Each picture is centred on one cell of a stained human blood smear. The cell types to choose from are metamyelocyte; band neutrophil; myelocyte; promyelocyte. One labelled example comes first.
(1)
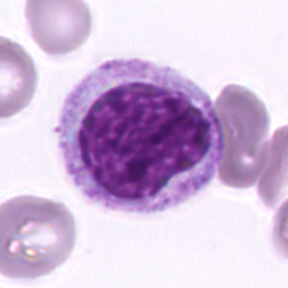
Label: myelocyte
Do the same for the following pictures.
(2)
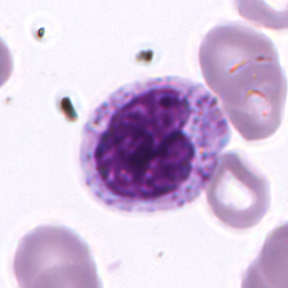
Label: band neutrophil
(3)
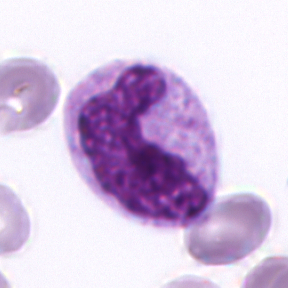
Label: band neutrophil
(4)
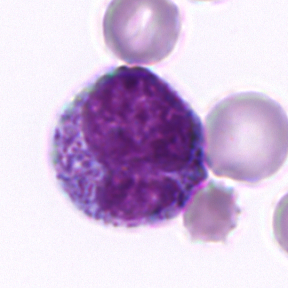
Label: myelocyte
